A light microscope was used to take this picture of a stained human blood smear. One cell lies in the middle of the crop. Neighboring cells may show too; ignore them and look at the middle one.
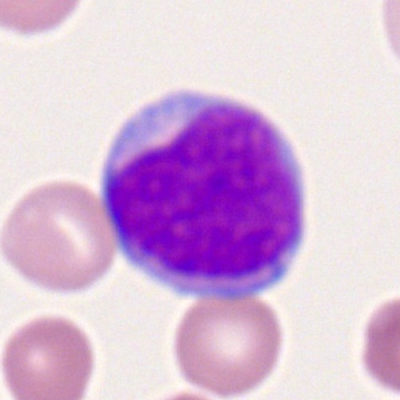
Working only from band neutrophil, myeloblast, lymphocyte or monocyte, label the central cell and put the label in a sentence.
The crop centres on a single cell, and that cell is a myeloblast.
